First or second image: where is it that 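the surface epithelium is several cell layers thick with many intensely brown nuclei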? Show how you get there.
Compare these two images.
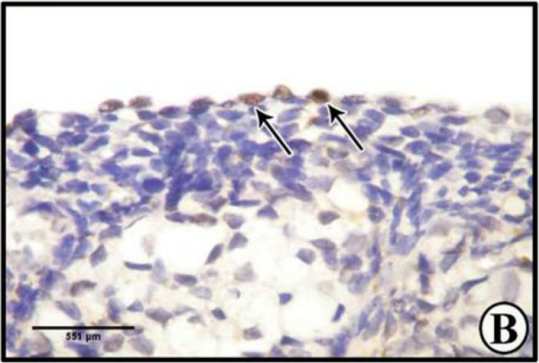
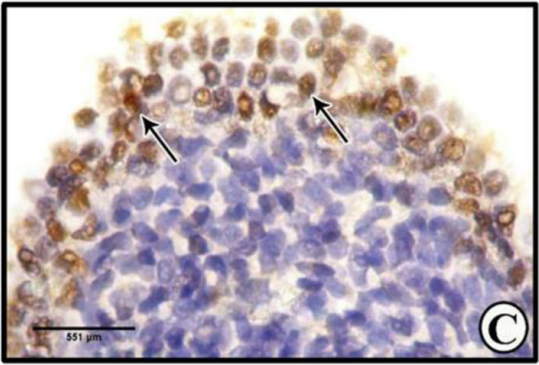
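Second image: the surface is covered by several layers of rounded cells, most with brown nuclei. First image: the surface is a single thin layer with only a few brownish nuclei.
The second image.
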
